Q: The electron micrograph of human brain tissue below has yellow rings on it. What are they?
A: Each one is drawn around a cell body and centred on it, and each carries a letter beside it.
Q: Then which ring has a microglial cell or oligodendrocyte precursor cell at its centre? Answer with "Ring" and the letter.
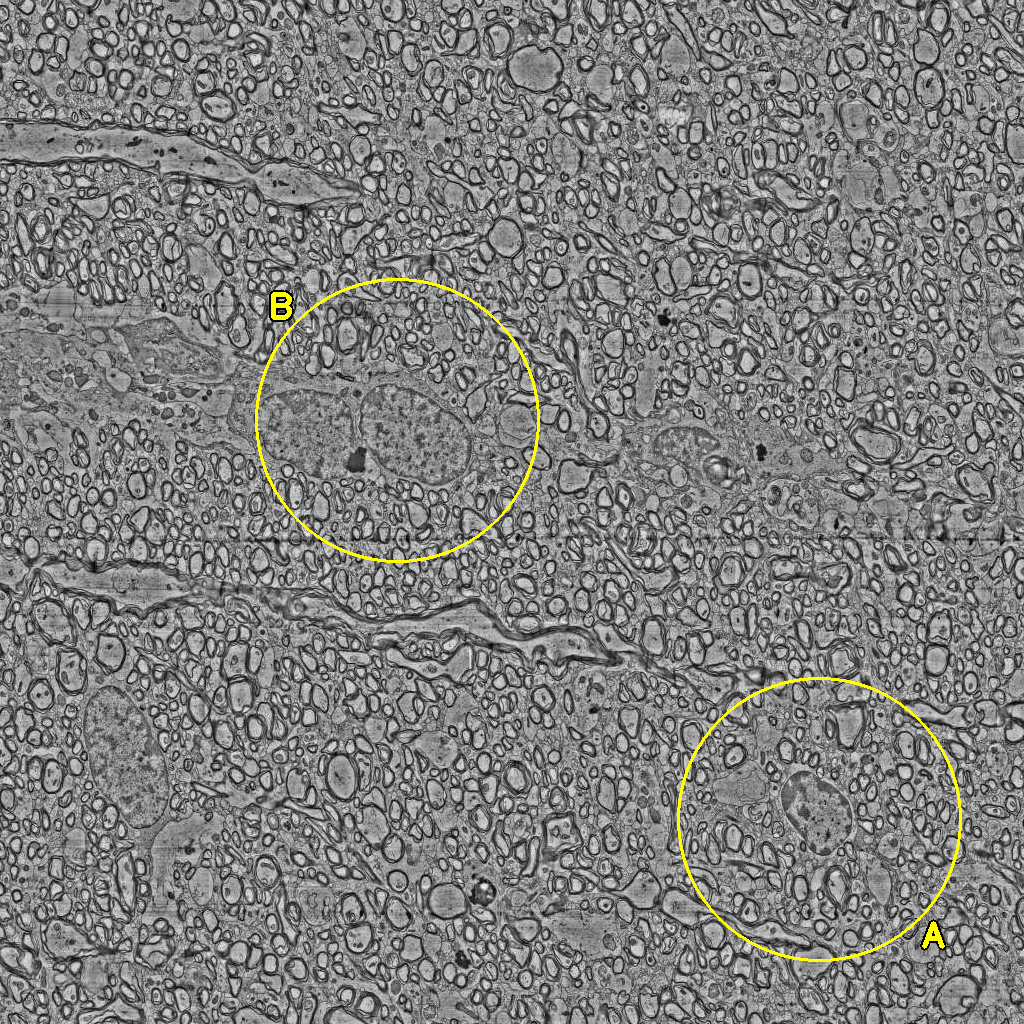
Ring A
